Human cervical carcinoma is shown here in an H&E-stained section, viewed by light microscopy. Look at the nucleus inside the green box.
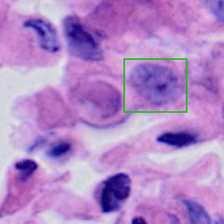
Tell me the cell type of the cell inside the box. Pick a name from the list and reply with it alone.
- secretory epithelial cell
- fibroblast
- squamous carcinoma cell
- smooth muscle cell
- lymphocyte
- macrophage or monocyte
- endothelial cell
macrophage or monocyte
